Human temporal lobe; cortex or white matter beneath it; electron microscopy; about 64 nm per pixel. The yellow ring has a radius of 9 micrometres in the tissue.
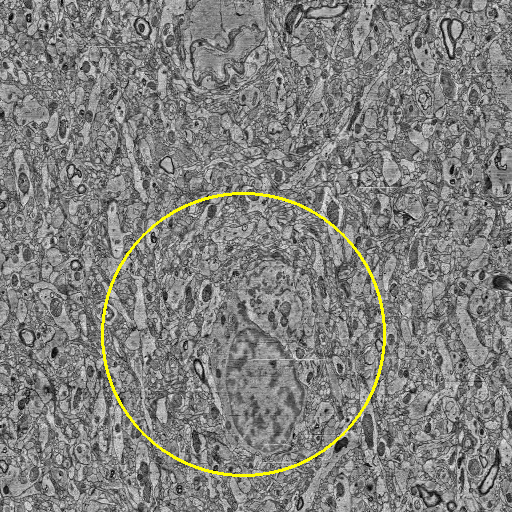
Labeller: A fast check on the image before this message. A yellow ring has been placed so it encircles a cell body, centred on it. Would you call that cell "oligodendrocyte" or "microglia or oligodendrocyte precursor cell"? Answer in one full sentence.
In this image, an oligodendrocyte is the cell on which the yellow ring is centred.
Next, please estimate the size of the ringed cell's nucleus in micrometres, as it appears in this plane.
About 8 by 5 micrometres; in this plane the nucleus is clearly longer than it is wide.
